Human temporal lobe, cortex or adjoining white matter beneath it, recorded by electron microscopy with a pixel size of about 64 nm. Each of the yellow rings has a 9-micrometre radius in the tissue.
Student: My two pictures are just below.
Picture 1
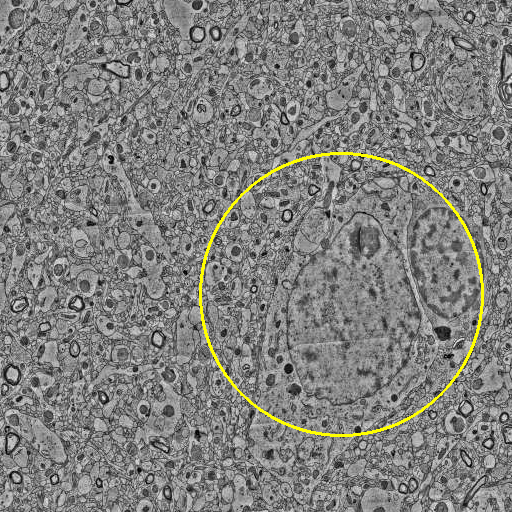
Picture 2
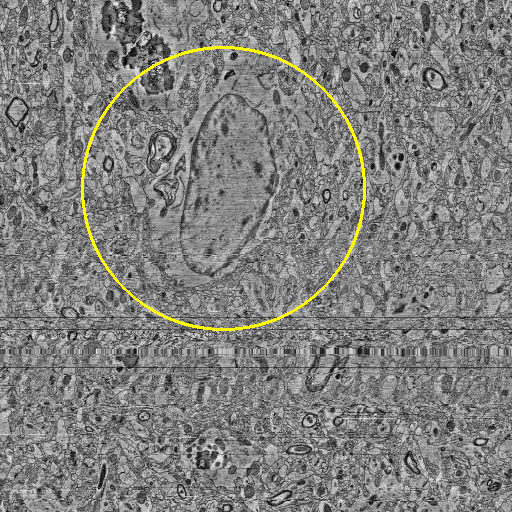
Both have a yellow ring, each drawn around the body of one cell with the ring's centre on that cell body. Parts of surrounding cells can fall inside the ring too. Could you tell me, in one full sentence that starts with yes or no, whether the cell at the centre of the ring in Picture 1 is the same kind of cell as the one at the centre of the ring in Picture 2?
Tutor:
No, the two cells are of two kinds.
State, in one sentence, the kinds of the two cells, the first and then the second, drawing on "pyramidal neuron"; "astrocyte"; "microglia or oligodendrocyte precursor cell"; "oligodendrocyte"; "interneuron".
The ring in the second picture is centred on an astrocyte, the ring in the first on an interneuron.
